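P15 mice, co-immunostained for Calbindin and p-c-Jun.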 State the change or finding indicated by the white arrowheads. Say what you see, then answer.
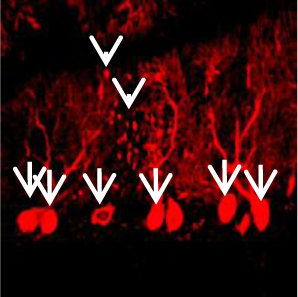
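The arrowheads point to a patch of dotted, beaded red puncta above the cell row. These dots contrast with the smoother branching processes nearby. So: dendrite swelling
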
